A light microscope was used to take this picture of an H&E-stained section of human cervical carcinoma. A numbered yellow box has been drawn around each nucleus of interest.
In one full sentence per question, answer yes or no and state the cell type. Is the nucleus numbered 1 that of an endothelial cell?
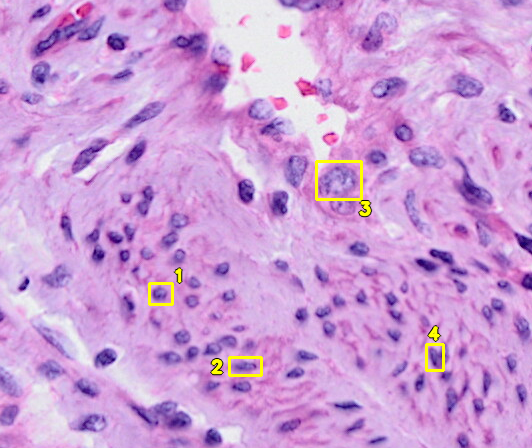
No, cell 1 is a smooth muscle cell and should not be called an endothelial cell.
